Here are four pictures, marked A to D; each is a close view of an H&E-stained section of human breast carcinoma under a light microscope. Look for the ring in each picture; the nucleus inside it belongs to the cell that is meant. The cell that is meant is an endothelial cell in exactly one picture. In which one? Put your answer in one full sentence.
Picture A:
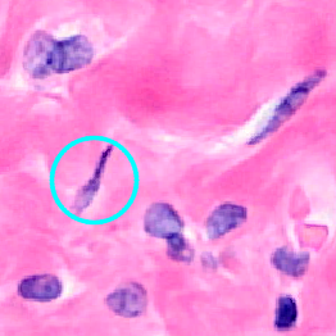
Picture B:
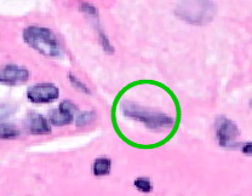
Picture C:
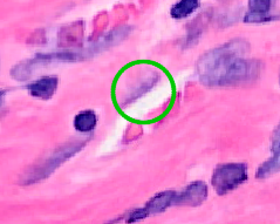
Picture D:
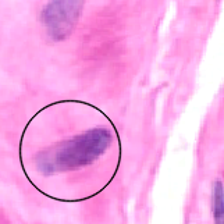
The cell in picture C is the endothelial cell.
